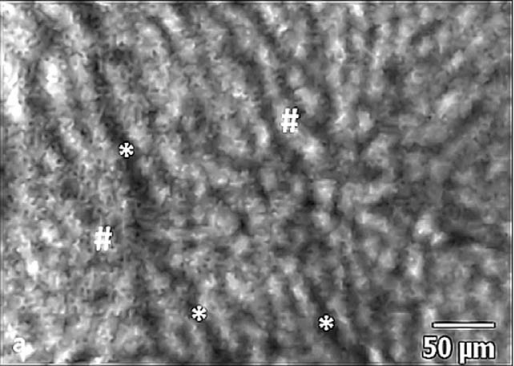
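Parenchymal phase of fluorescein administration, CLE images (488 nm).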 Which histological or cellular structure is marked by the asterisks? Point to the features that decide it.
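The asterisks lie on dark linear channels. The dark channels run between the bright cords.
Hence: intravascular space.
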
